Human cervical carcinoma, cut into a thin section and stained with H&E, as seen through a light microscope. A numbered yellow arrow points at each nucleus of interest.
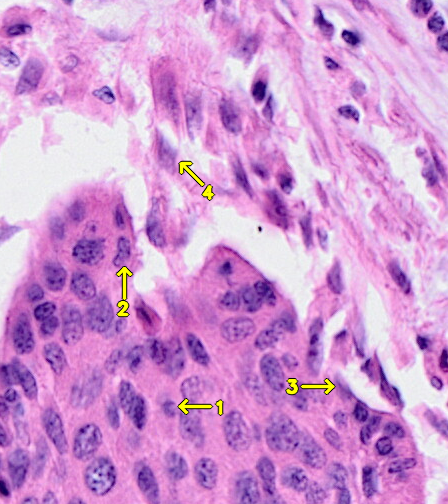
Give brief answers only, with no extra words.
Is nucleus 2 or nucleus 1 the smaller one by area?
1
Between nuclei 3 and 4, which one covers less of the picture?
3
